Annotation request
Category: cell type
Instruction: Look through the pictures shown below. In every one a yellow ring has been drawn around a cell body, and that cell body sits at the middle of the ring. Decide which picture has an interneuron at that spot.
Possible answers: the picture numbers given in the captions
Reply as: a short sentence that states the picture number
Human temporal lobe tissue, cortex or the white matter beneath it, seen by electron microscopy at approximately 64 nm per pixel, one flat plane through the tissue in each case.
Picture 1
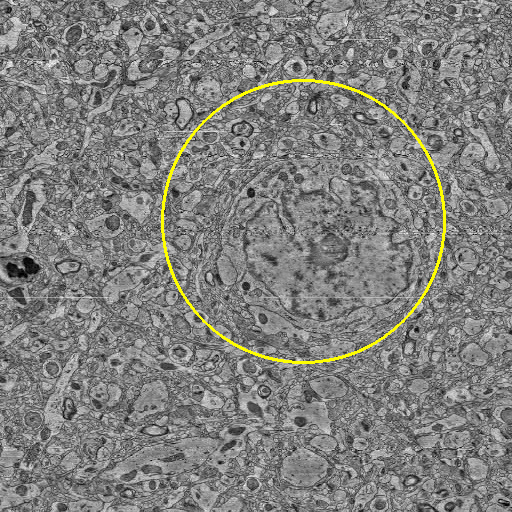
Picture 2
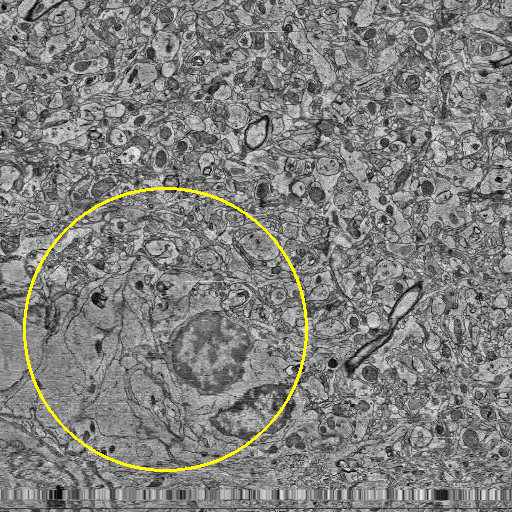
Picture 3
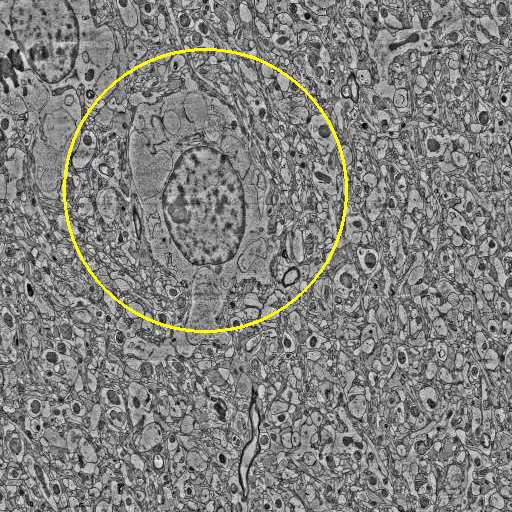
It is in Picture 1.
